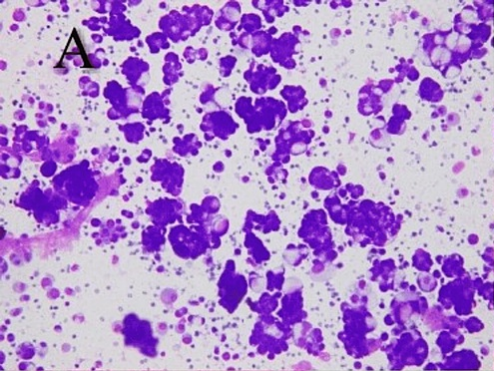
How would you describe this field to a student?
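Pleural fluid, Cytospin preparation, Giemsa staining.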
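Scattered across a pale background are small round cells and red blood cells, and among them lie many deep purple clusters of much larger cells. The clusters are tight and crowded, with cells piled over one another into rounded, ball-like groups, and some cells show pale, bubbly cytoplasm at the edges.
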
